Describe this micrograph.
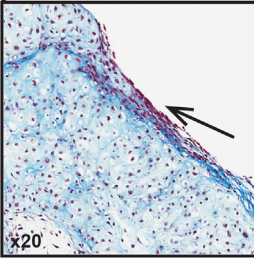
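The interior holds rounded chondrocytes with dark nuclei, set singly in small spaces within an abundant blue-staining matrix. Along the surface lies a band several cells thick of flattened, elongated cells with spindle-shaped nuclei, staining red to purple. This band runs parallel to the edge.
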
